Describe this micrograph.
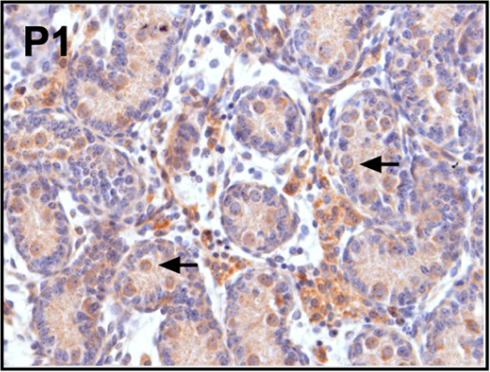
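Small solid cords without a lumen, separated by abundant loose interstitial tissue. Brown staining also marks scattered cells in the interstitium.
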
